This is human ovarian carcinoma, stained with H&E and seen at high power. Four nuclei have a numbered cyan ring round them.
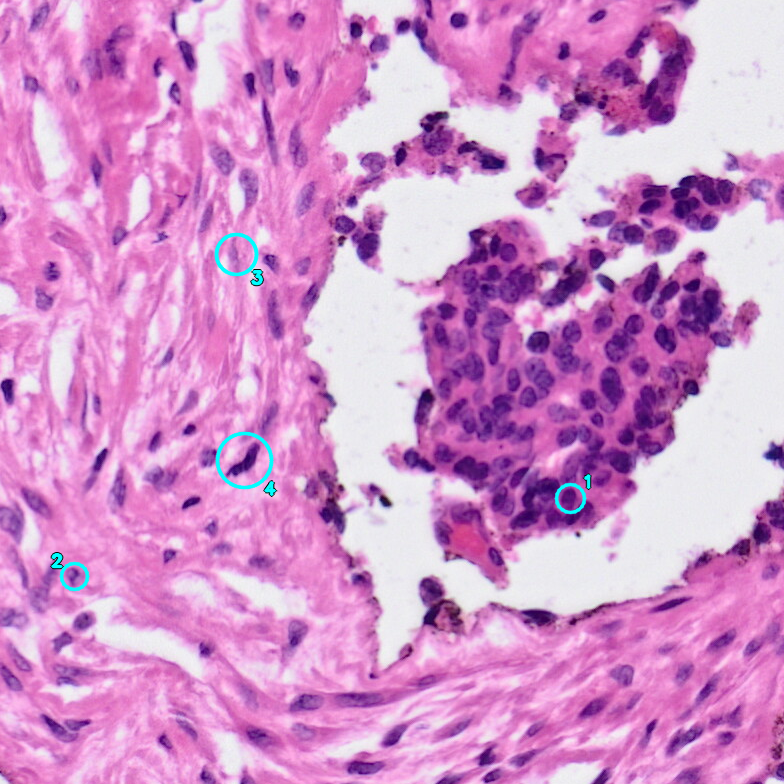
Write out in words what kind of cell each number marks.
Cell 1 is a carcinoma cell. Cells 2, 3 and 4 are fibroblasts.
